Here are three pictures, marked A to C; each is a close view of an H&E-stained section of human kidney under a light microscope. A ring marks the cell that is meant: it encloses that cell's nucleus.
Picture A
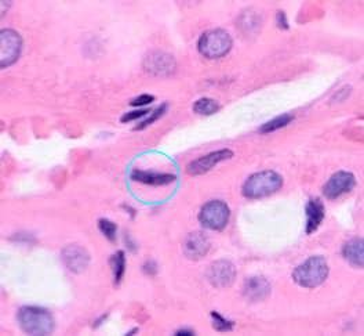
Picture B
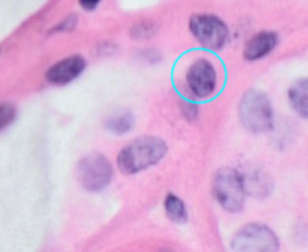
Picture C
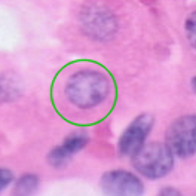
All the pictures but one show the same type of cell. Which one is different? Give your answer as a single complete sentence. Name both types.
The different one is picture C; it shows a proximal tubule cell, whereas all the others show collecting duct cells.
